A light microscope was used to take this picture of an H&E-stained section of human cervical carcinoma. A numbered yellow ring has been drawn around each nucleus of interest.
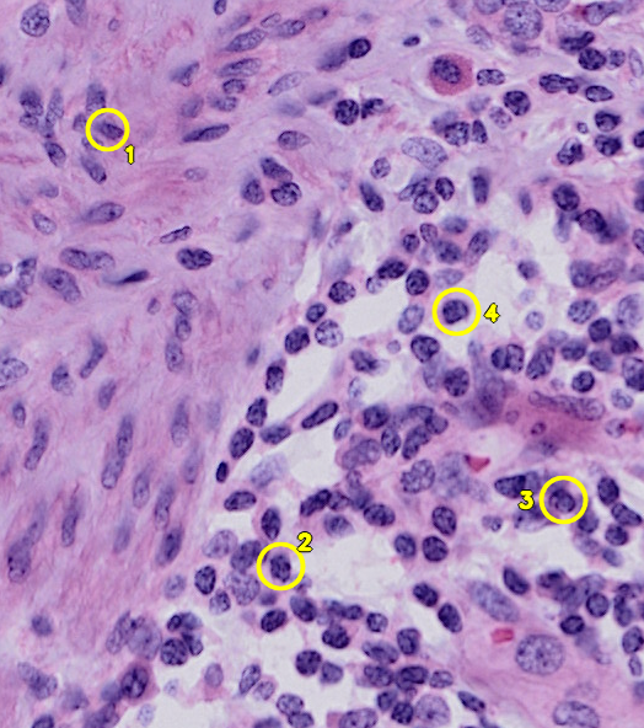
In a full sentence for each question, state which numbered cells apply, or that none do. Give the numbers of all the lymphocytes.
The cells whose numbers are 2, 3 and 4 are lymphocytes.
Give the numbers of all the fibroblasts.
It is not the case that any of the numbered cells are fibroblasts.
